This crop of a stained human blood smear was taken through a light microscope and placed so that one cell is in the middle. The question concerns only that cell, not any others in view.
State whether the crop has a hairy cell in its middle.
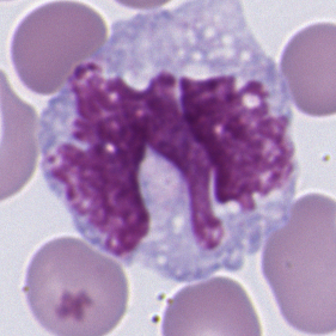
no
